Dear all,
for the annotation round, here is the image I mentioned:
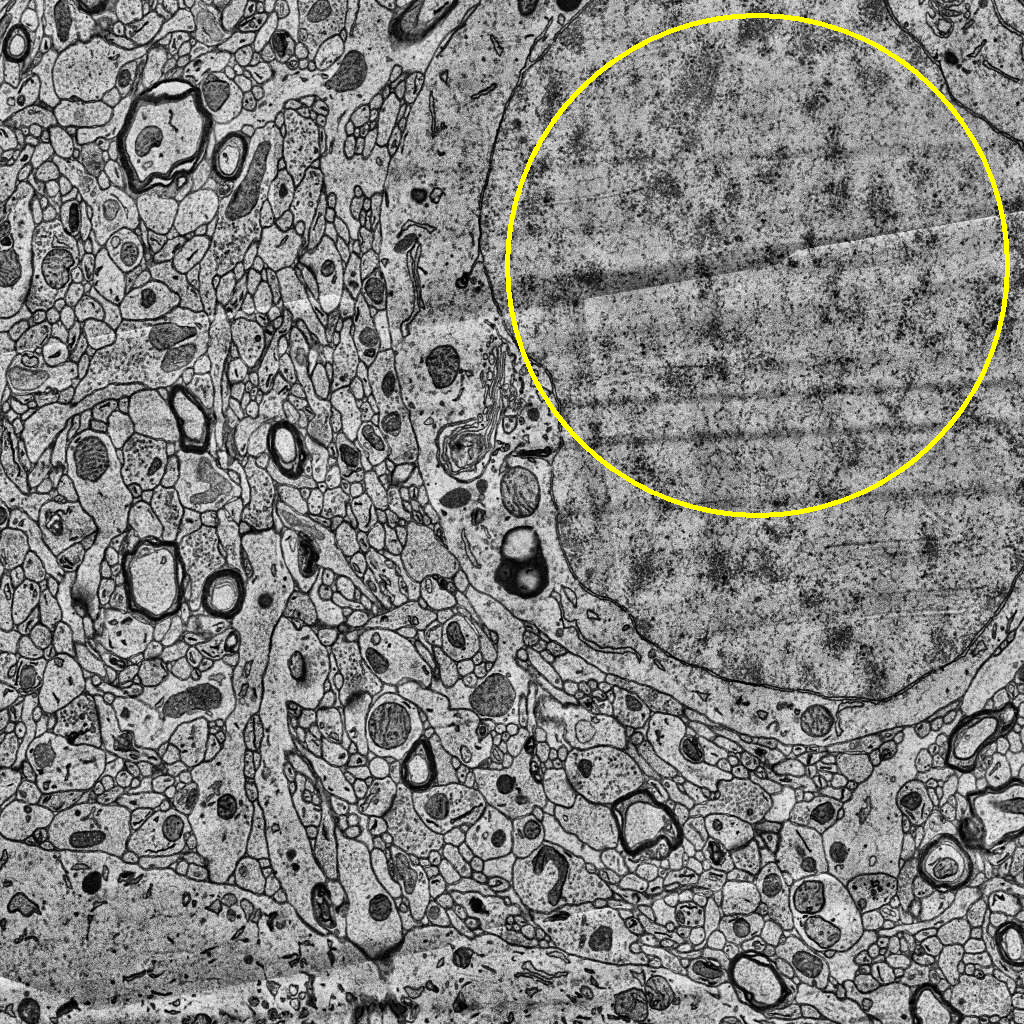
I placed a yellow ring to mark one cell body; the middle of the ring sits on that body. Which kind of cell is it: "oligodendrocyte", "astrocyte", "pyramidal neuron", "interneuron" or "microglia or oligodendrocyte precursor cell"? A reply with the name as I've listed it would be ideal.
pyramidal neuron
